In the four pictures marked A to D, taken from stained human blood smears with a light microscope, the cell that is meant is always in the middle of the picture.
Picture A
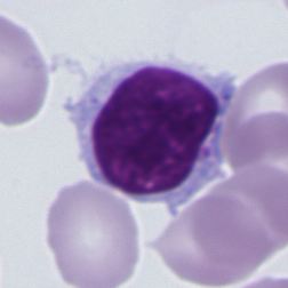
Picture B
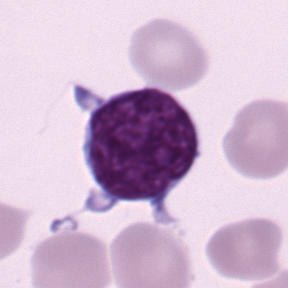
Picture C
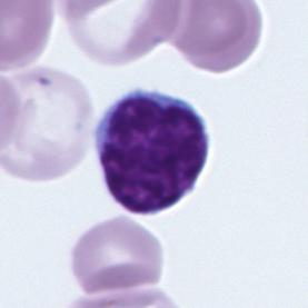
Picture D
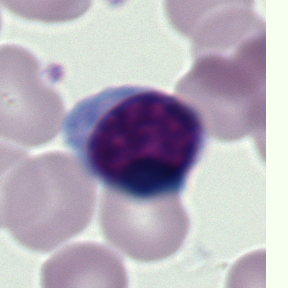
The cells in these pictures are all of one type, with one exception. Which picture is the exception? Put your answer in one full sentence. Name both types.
Picture B is the odd one out: it shows a myeloblast, while the others show typical lymphocytes.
